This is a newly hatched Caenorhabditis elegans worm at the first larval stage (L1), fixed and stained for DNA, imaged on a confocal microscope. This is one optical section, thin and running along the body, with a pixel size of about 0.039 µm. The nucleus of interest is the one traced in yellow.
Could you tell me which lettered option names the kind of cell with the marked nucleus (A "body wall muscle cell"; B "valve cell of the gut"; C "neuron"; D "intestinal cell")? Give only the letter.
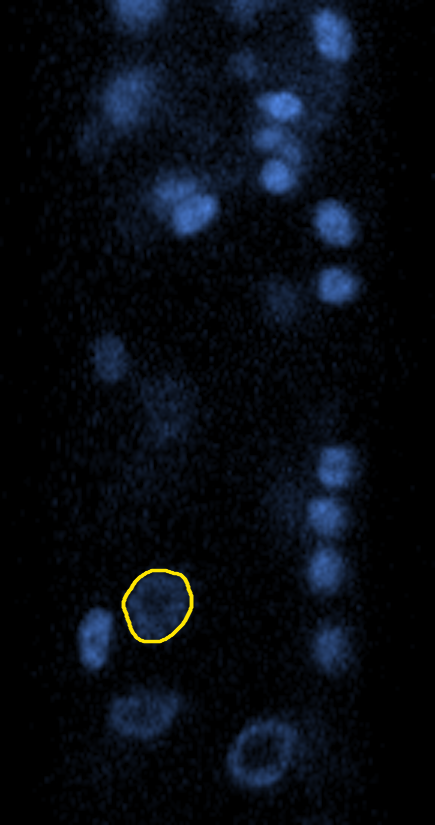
D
